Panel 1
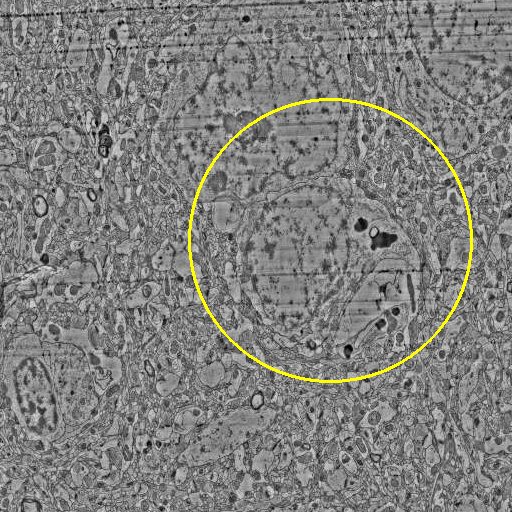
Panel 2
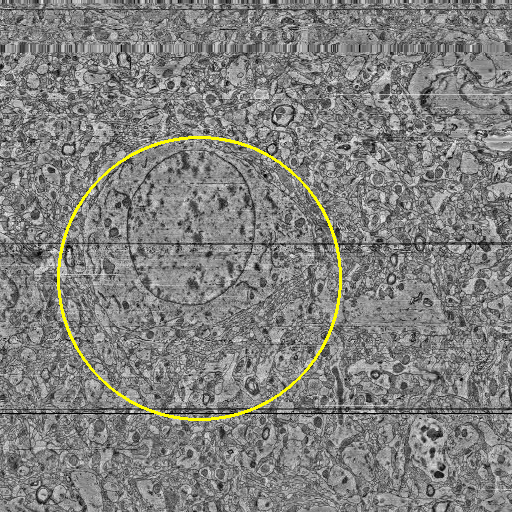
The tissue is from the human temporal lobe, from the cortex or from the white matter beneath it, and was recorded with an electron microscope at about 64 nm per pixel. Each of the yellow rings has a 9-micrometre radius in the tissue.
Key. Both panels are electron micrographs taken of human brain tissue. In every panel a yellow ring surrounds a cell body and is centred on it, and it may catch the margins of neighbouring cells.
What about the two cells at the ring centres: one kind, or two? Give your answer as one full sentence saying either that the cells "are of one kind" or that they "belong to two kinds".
Across Panels 1 and 2, the two cells at the ring centres belong to two kinds.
